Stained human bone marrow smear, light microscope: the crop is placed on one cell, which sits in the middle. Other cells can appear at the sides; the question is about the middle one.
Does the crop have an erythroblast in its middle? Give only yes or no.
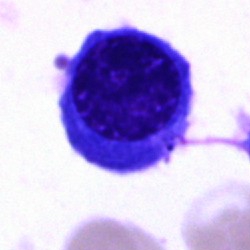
yes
